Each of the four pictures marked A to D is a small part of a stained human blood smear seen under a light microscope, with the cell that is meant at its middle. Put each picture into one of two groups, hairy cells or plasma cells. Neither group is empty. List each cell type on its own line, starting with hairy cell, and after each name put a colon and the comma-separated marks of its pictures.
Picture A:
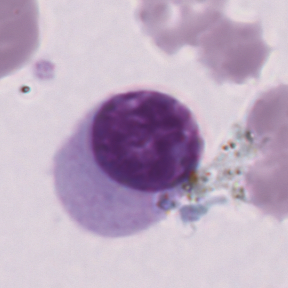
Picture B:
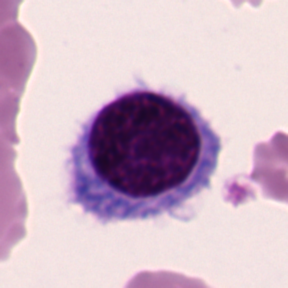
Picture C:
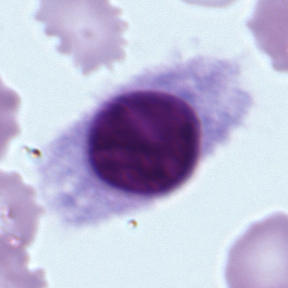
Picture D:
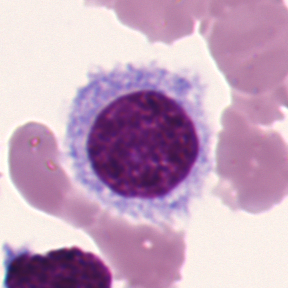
hairy cell: B, C, D
plasma cell: A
